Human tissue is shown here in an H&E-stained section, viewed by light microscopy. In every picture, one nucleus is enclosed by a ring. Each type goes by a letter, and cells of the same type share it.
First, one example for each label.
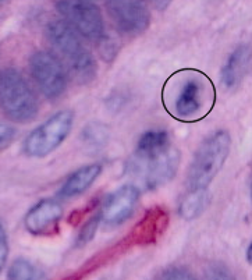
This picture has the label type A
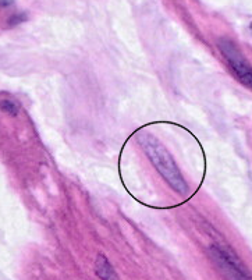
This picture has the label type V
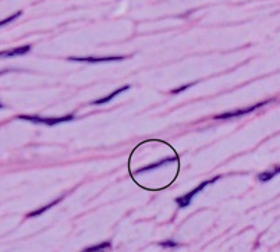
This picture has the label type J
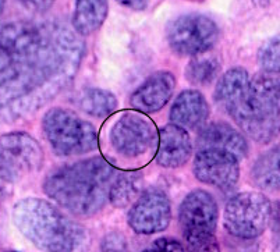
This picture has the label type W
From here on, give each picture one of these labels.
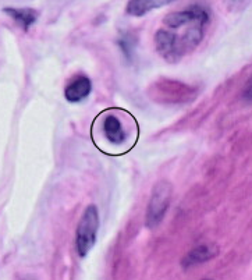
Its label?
type A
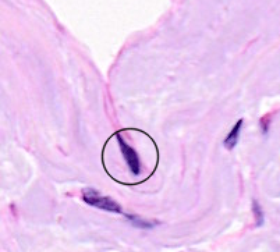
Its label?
type J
